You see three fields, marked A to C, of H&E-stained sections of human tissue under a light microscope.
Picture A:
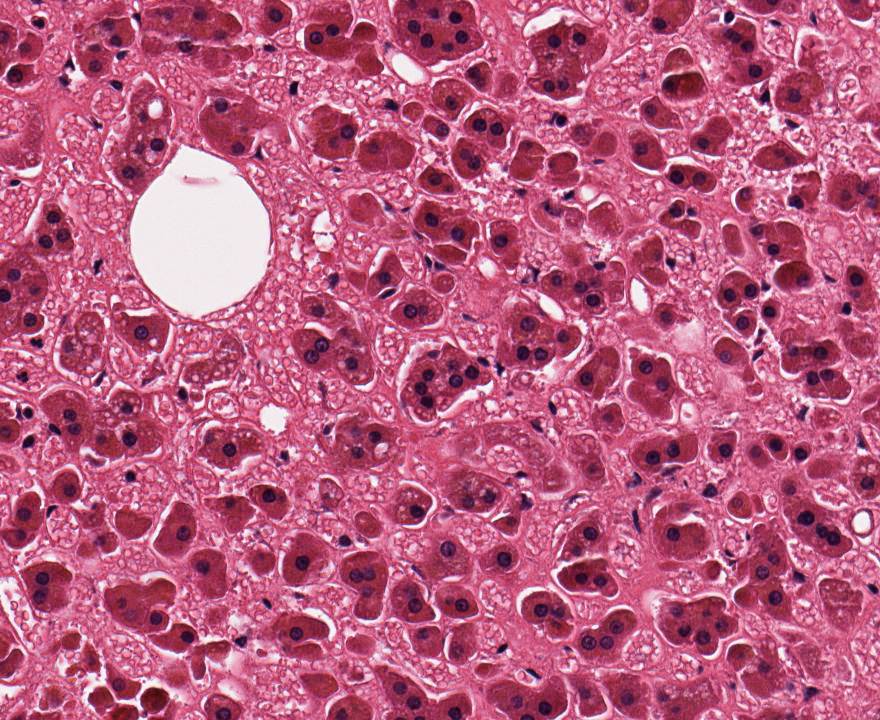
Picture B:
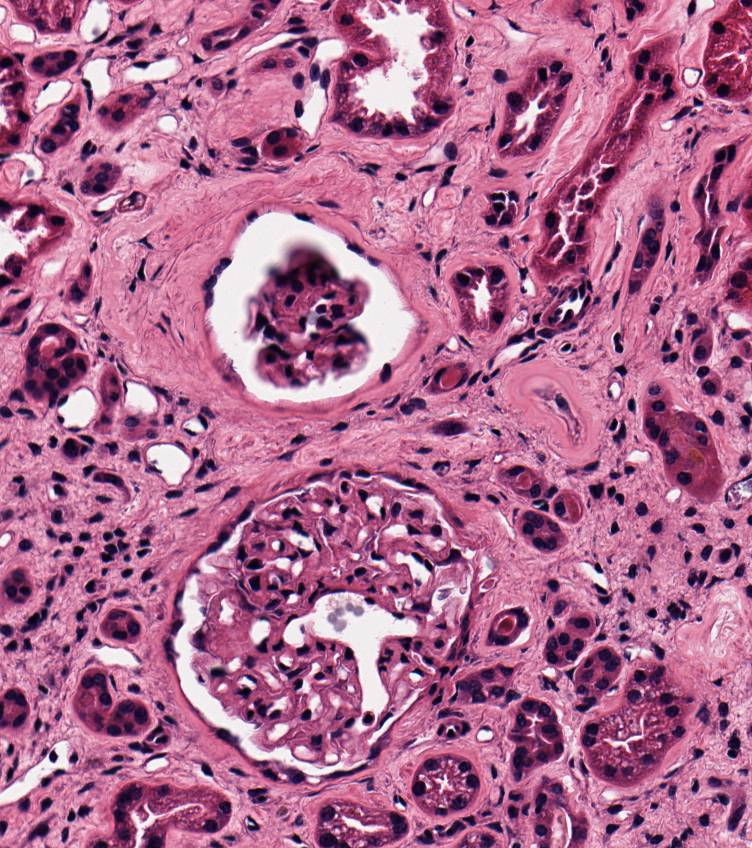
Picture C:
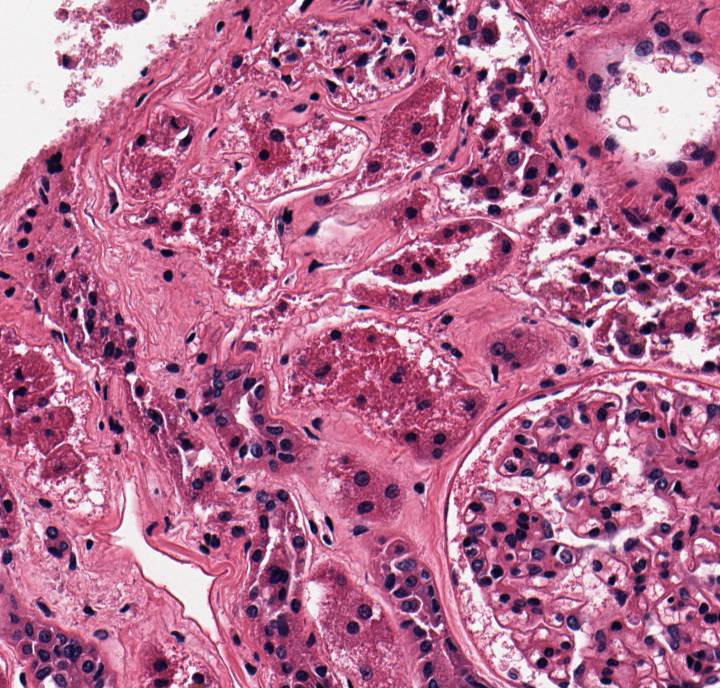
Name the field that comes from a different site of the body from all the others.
A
